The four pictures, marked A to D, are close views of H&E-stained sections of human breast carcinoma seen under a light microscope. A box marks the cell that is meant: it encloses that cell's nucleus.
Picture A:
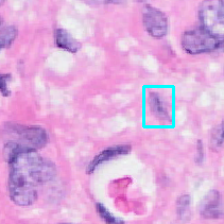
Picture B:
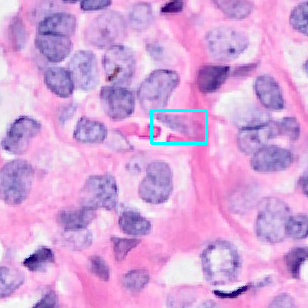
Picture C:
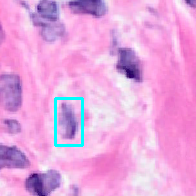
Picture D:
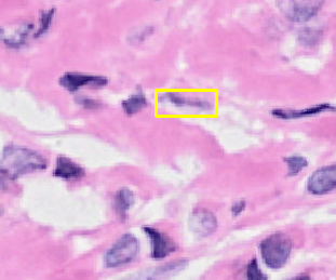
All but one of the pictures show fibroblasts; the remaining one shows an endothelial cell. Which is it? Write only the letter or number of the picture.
B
